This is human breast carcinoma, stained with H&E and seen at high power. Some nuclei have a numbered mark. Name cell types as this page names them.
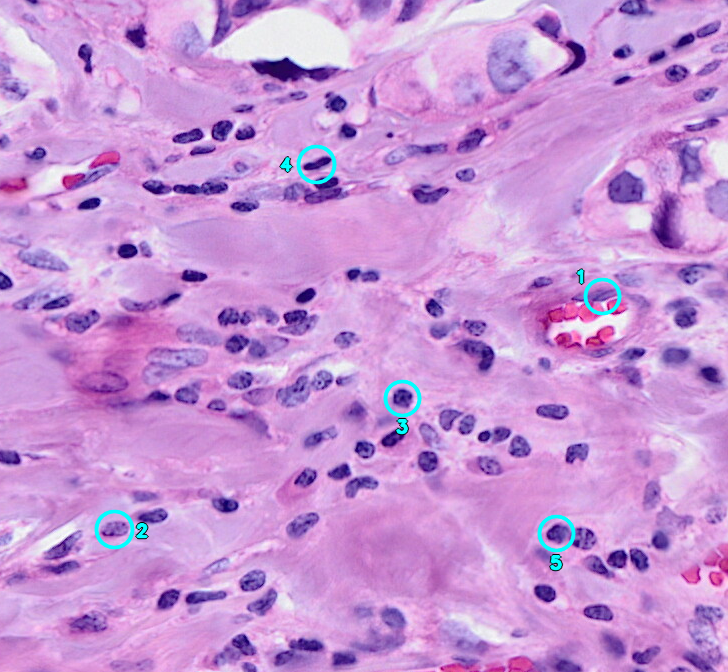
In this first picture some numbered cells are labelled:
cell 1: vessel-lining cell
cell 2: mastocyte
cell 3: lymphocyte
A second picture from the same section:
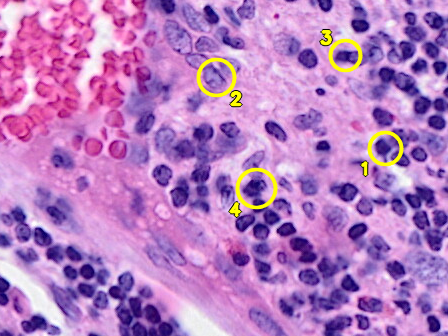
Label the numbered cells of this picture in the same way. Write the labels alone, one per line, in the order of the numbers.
lymphocyte
vessel-lining cell
lymphocyte
lymphocyte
